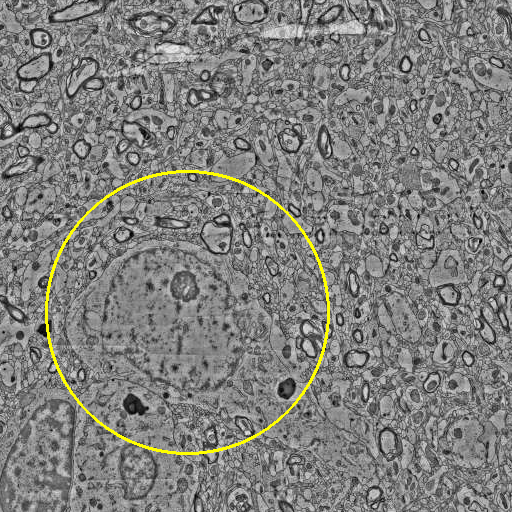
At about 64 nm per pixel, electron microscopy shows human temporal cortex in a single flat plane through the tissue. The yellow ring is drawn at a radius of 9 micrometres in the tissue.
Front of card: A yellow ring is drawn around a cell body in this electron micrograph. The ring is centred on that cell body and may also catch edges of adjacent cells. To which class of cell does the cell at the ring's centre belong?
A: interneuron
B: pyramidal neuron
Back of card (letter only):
A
